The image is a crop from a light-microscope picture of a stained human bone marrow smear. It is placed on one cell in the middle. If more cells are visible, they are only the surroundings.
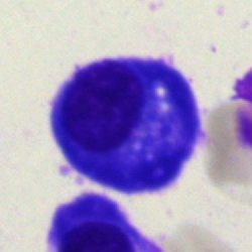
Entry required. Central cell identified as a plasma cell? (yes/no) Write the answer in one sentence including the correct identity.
Yes, a plasma cell is present in the middle of the crop.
